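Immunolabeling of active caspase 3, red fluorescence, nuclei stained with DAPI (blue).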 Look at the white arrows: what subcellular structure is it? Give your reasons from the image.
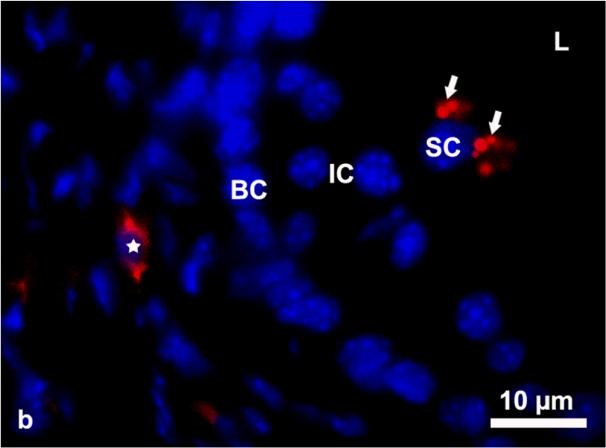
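Lipofuscin granules. Small clustered red dots next to a large nucleus at the luminal side.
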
